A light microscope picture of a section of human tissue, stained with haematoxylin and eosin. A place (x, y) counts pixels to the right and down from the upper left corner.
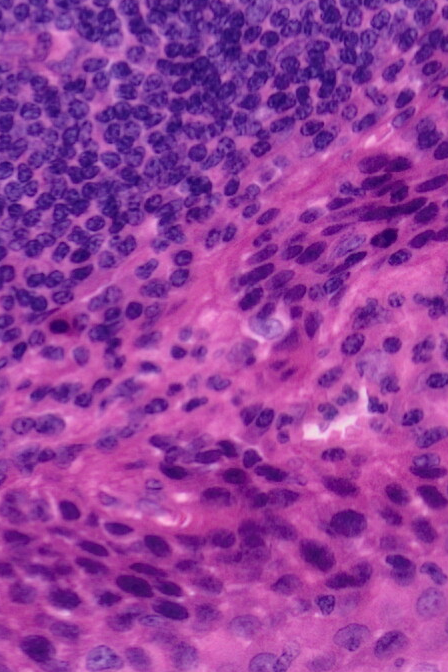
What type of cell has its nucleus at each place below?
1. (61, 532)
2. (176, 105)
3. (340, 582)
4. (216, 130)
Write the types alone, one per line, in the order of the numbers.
squamous epithelial cell
small lymphocyte
squamous epithelial cell
small lymphocyte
